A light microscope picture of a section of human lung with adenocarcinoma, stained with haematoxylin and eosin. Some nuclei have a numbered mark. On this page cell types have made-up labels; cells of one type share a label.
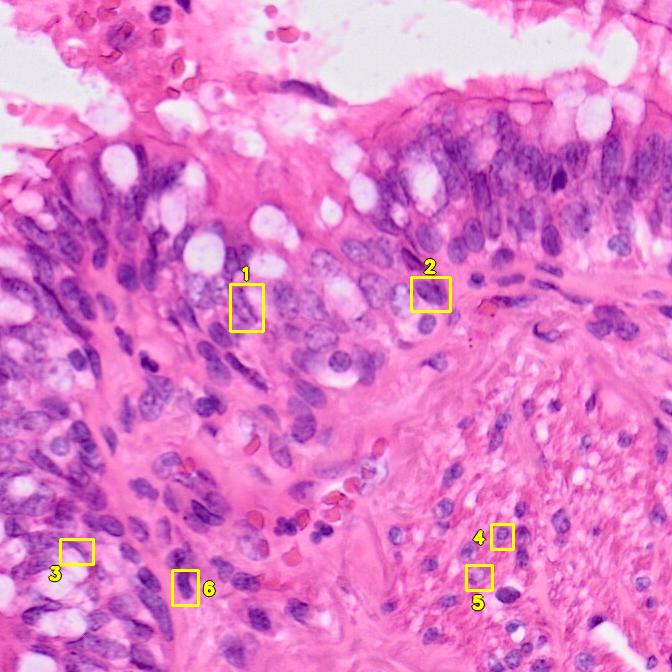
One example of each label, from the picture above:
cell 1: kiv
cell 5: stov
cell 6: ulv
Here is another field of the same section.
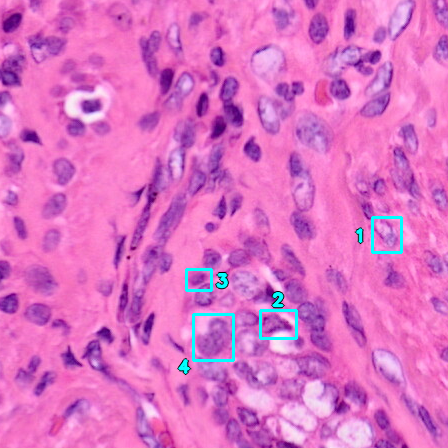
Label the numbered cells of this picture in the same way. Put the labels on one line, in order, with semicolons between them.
stov; kiv; kiv; kiv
